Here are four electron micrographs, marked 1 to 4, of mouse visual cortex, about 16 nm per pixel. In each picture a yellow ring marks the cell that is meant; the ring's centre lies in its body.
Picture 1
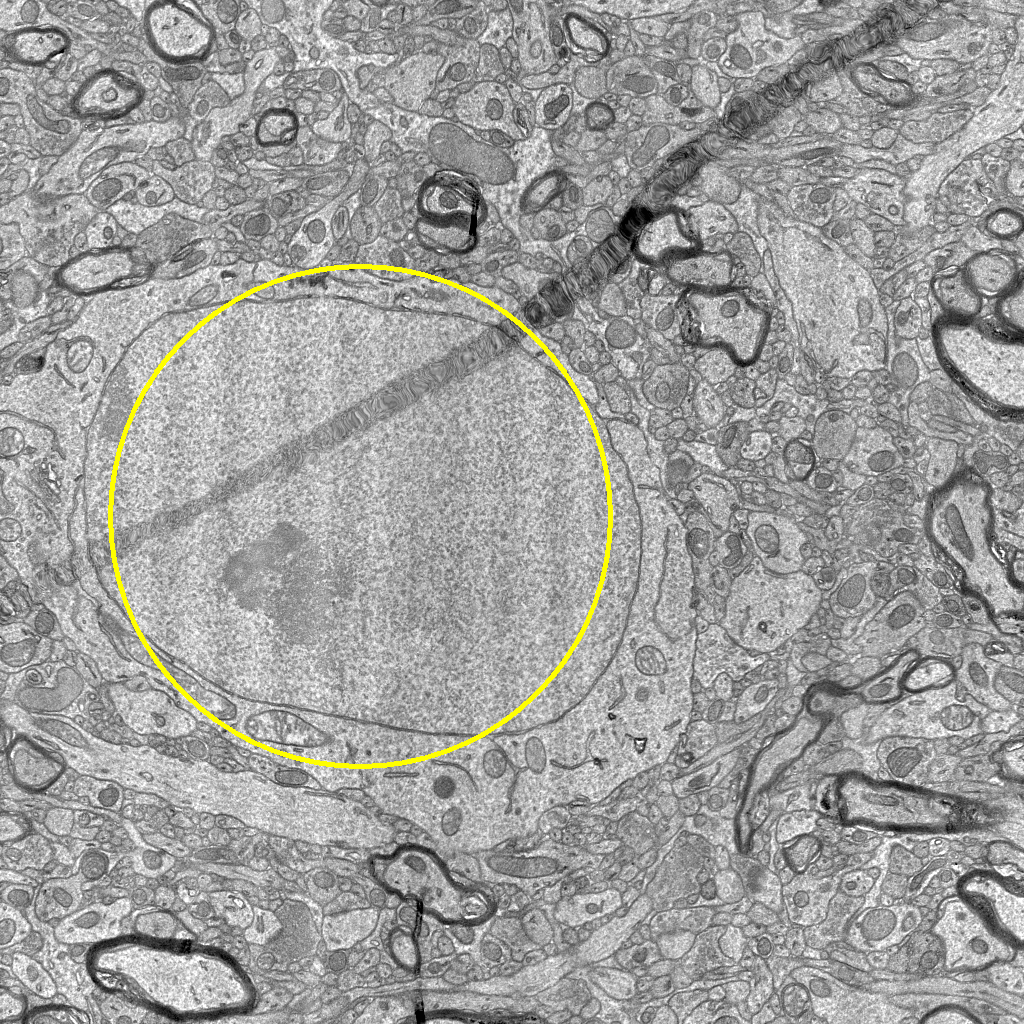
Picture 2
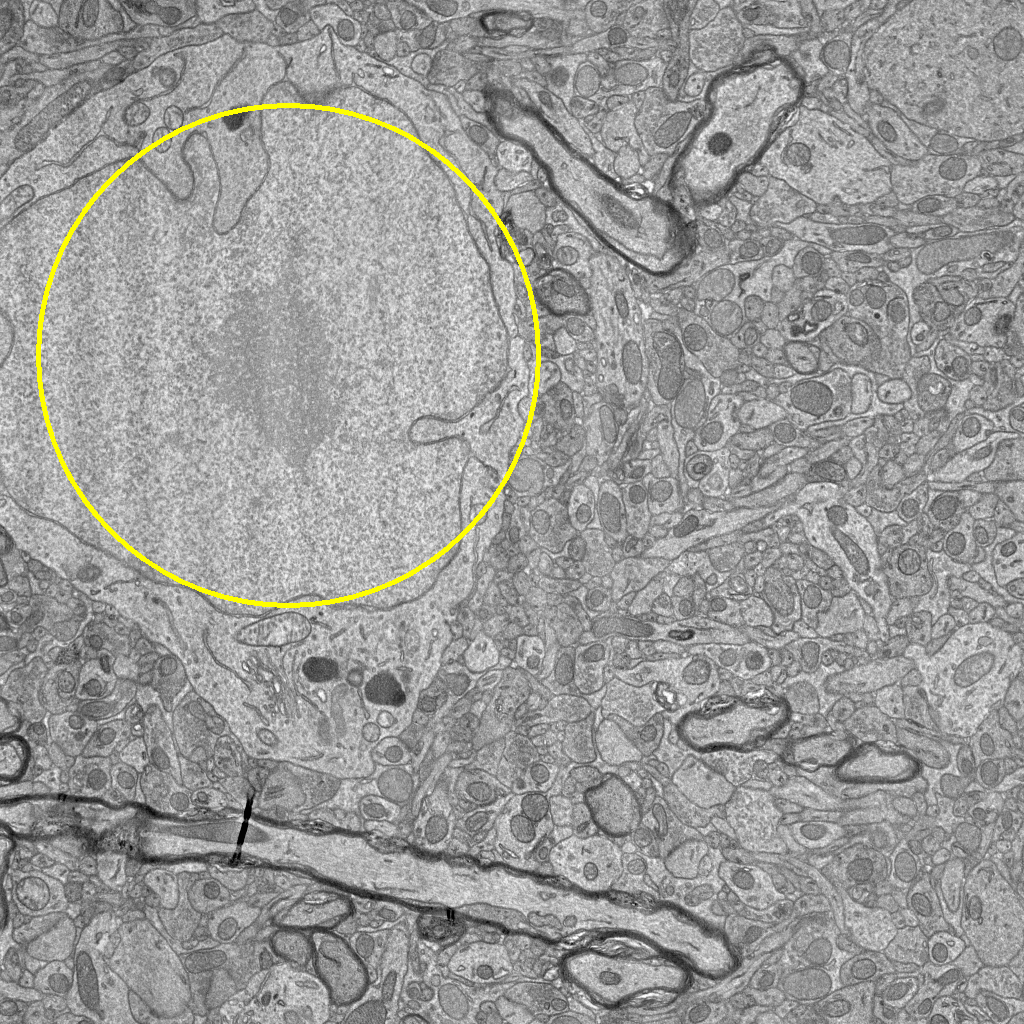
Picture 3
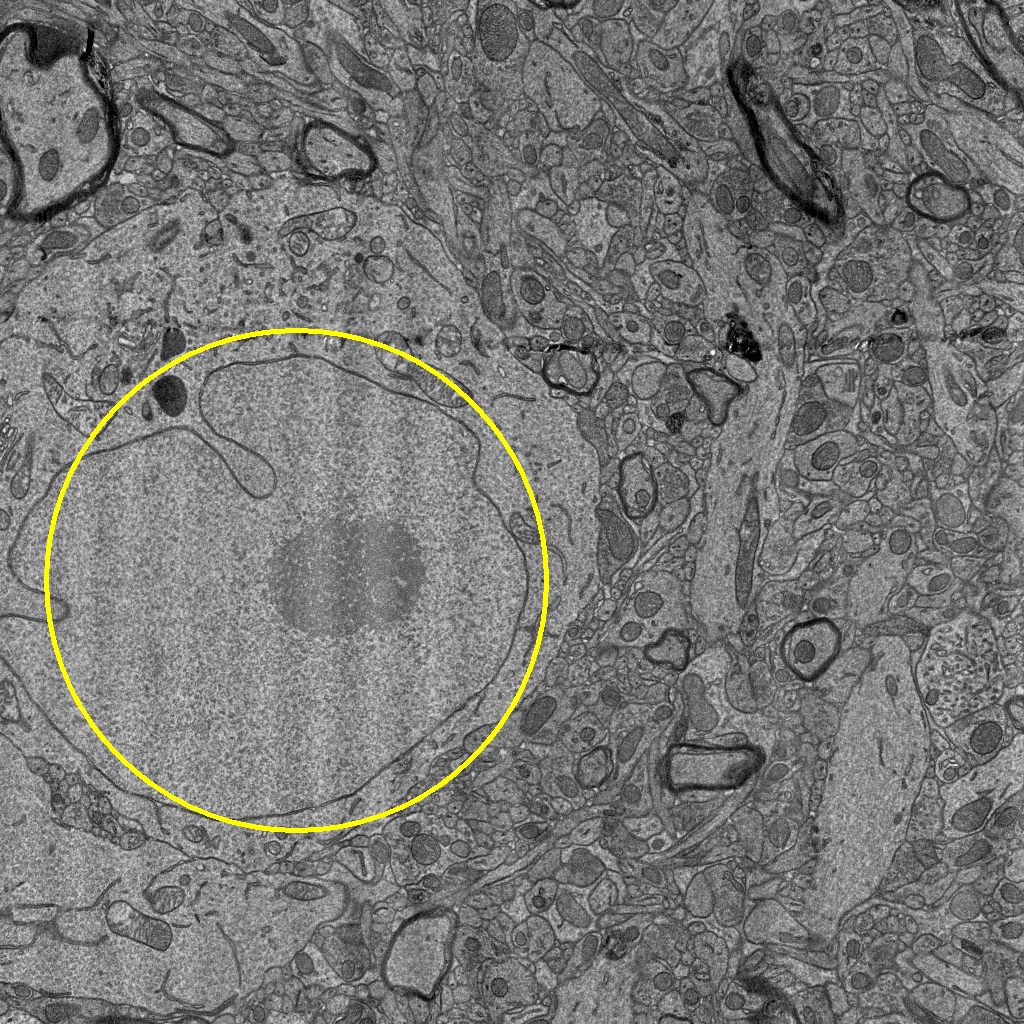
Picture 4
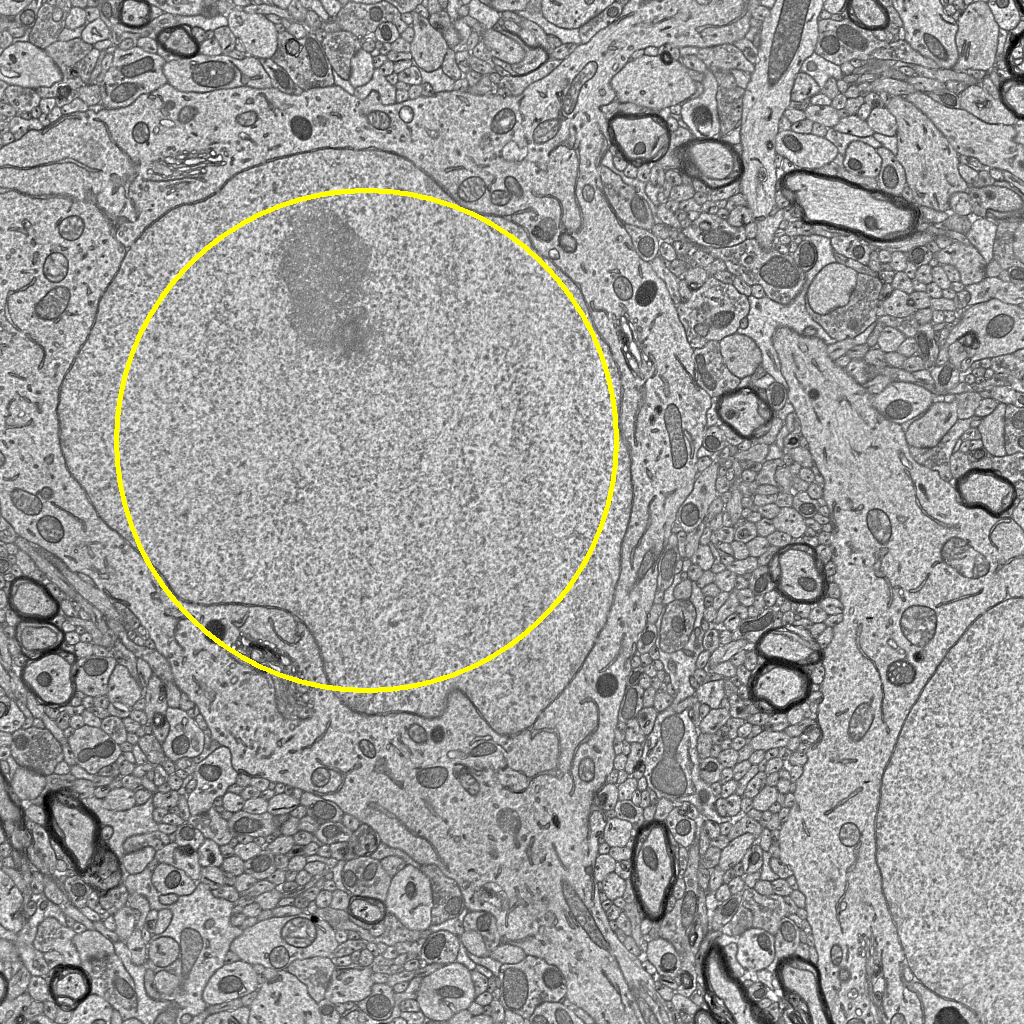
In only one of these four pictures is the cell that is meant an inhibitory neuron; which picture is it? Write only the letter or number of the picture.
2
